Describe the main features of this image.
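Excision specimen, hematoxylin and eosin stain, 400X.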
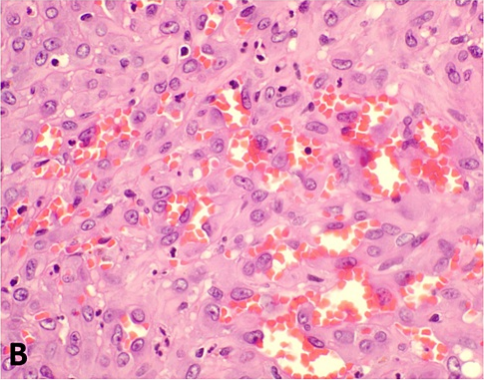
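Neoplastic cells with epithelioid to spindled shapes are packed closely together, with pink cytoplasm and poorly defined cell borders. Their nuclei are oval to elongated and vary in size, with pale open chromatin and many showing a distinct dark nucleolus. Between the cells run irregular, slit-like spaces. These spaces are filled with clusters of small, round, bright red erythrocytes. A few small dark nuclei are scattered among the larger tumour nuclei.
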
